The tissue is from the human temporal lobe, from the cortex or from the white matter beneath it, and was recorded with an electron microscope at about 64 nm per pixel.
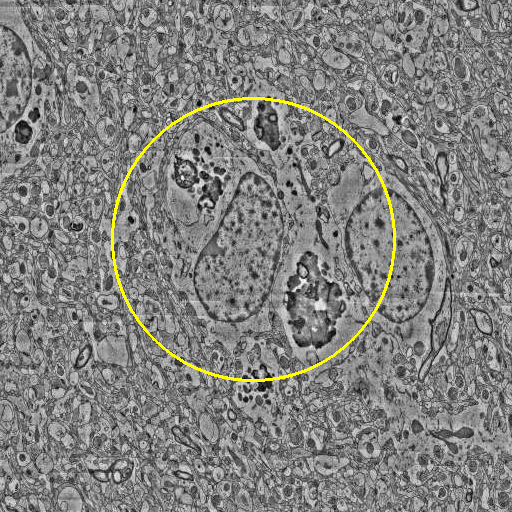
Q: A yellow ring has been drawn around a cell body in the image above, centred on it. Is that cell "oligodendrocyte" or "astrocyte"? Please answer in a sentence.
The ring surrounds the cell body of an astrocyte.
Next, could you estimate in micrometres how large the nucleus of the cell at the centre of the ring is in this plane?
The nucleus is about 8 micrometres in length and 5 in width, clearly longer than it is wide in this plane.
